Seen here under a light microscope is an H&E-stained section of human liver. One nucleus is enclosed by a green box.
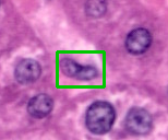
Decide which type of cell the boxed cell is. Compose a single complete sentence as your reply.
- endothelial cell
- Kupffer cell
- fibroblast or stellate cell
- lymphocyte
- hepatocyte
In this section, the boxed cell is a Kupffer cell.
